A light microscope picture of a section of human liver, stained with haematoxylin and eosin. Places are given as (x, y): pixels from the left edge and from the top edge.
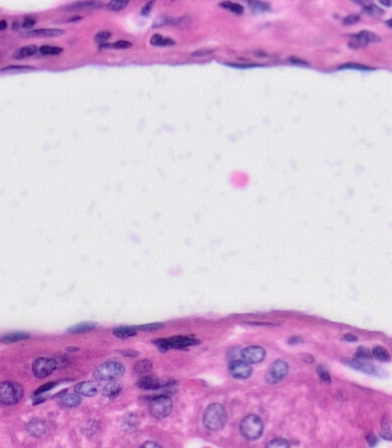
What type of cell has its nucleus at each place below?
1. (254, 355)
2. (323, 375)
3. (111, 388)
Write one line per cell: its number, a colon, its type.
1: cholangiocyte
2: fibroblast or stellate cell
3: cholangiocyte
